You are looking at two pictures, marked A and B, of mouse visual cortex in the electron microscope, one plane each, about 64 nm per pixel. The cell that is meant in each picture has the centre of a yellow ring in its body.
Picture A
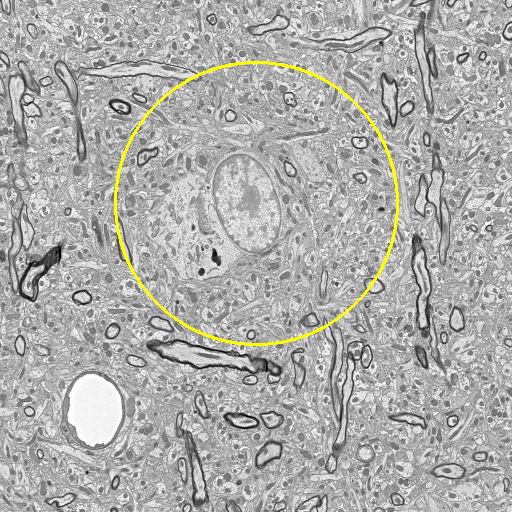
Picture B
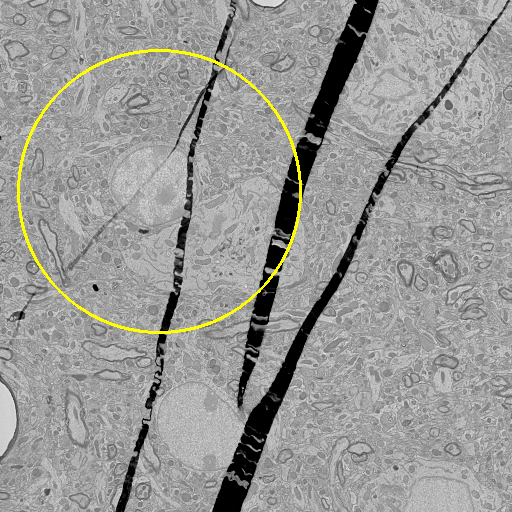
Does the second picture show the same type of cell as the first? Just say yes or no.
yes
